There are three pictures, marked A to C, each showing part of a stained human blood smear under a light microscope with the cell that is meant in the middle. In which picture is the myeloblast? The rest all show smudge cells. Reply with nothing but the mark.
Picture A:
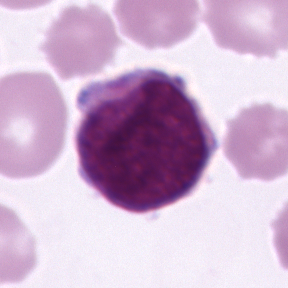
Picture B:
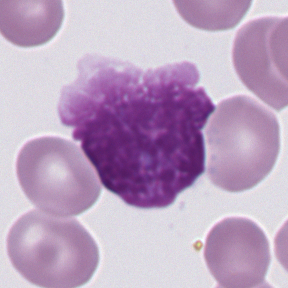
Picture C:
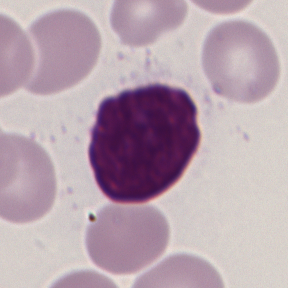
A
